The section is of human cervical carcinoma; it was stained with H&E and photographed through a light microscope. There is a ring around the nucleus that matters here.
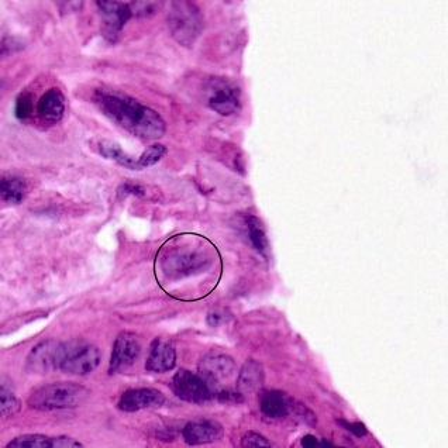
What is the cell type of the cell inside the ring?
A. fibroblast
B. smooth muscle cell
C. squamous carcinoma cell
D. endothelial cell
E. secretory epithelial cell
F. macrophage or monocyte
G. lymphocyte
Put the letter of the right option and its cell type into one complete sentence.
Answer with option A; the cell inside the ring is a fibroblast.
